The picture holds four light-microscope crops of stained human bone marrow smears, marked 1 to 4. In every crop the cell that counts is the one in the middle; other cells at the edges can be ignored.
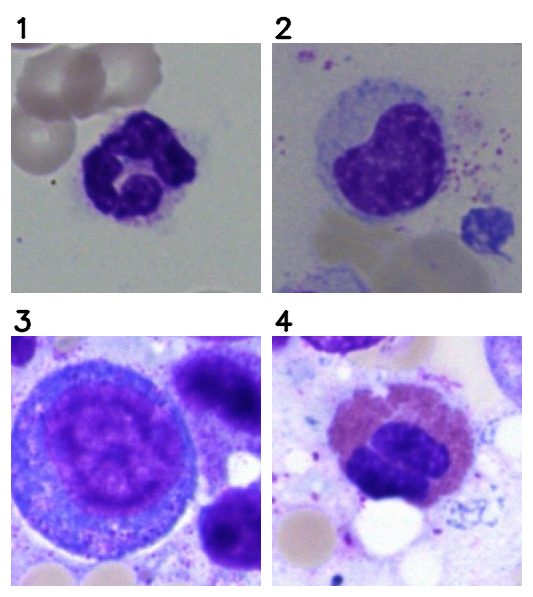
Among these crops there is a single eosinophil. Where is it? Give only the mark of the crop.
4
